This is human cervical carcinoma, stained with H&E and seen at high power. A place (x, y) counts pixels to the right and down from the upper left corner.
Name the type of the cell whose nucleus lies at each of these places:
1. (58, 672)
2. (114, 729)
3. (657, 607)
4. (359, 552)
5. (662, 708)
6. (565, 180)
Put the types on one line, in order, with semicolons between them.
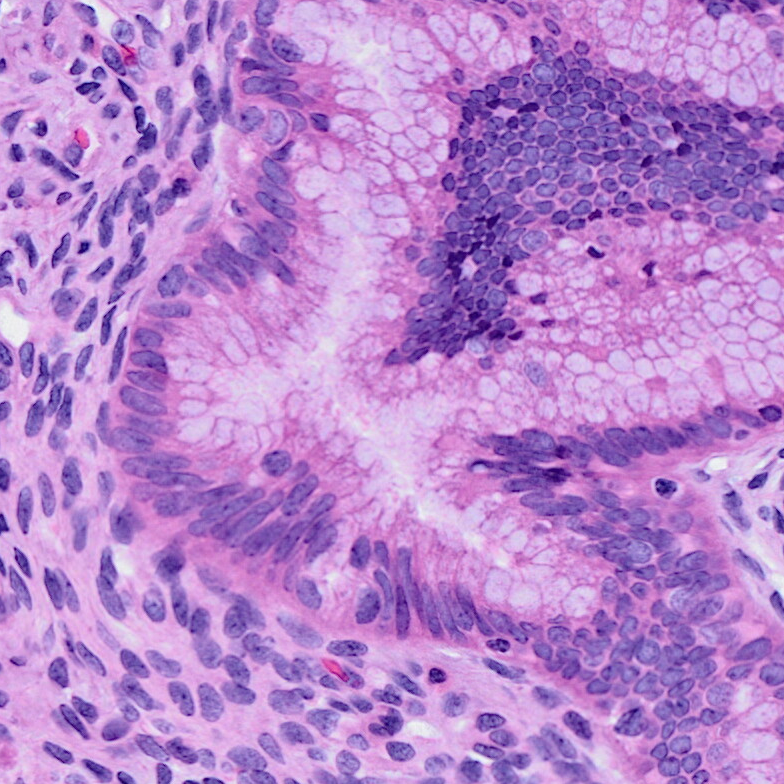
fibroblast; fibroblast; secretory epithelial cell; secretory epithelial cell; secretory epithelial cell; secretory epithelial cell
